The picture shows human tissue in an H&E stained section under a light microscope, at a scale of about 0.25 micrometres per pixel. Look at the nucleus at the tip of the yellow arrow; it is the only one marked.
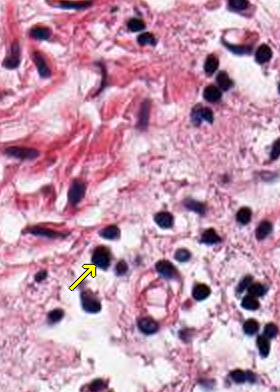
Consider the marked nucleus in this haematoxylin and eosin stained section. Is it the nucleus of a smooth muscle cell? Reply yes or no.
no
